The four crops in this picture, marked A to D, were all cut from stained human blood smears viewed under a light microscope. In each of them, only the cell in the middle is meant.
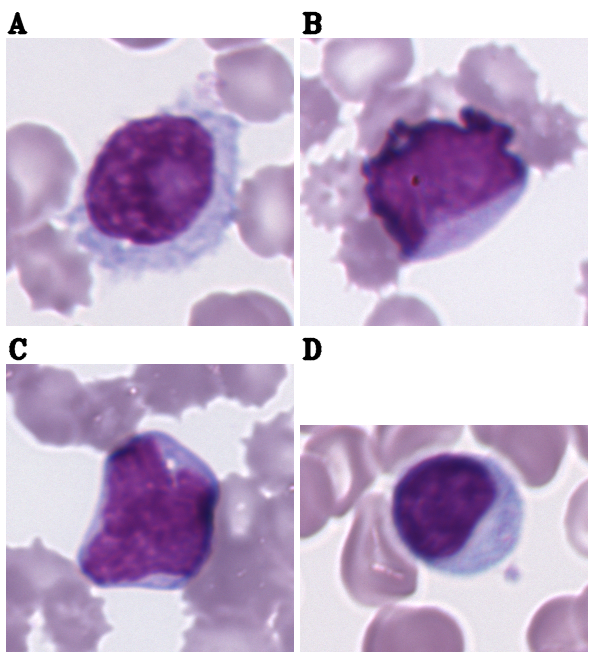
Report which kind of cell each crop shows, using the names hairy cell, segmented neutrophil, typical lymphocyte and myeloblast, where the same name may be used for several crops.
A: hairy cell
B: myeloblast
C: myeloblast
D: typical lymphocyte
